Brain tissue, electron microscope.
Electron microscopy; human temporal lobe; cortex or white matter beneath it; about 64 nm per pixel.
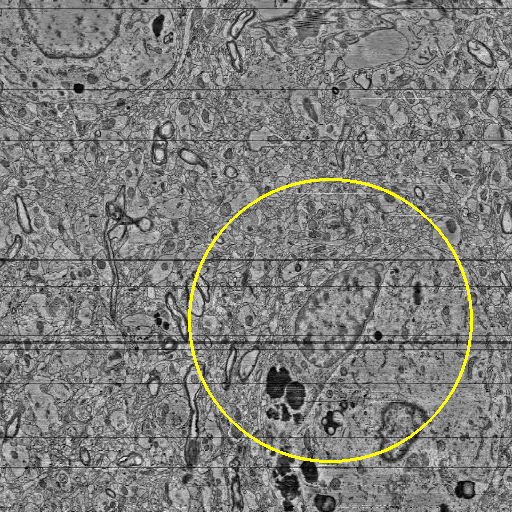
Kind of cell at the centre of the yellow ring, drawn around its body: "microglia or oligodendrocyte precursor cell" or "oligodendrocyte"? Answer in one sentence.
The ring's centre falls on an oligodendrocyte.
